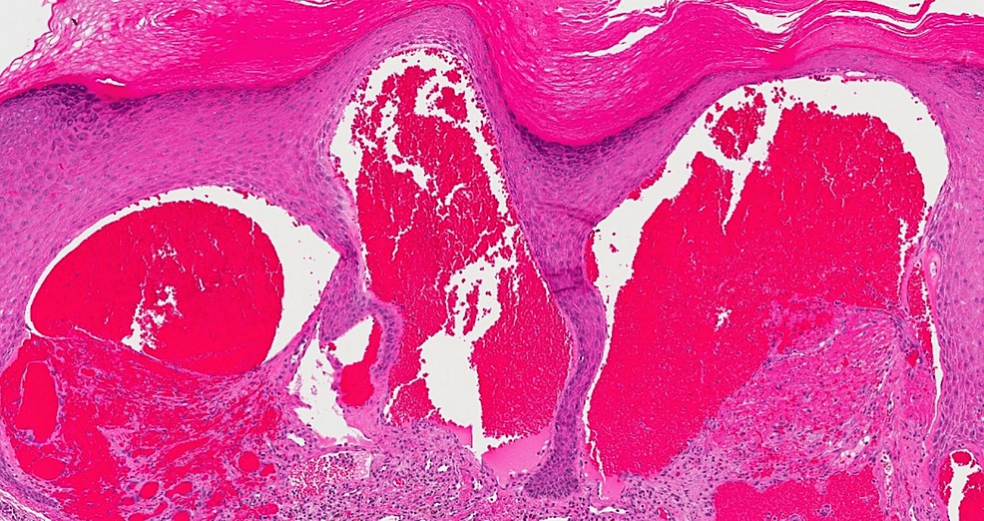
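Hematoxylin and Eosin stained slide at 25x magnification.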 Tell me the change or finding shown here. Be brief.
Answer: ectatic vessels in intimate contact with the epidermis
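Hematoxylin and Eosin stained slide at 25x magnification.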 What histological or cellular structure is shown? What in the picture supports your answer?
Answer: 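Several very large spaces are packed with red blood cells beneath the epidermis. The spaces are lined by thin walls. So: dilated blood vessels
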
